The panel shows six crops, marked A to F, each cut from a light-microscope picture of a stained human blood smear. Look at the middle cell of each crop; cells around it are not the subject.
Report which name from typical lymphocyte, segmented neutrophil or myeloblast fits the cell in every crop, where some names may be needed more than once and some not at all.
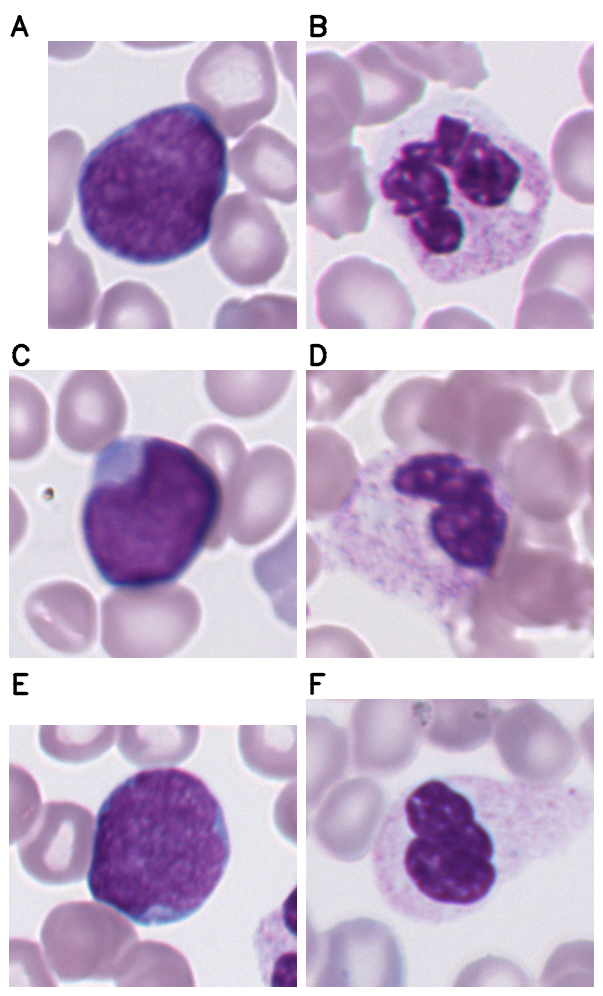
A: myeloblast
B: segmented neutrophil
C: myeloblast
D: segmented neutrophil
E: myeloblast
F: segmented neutrophil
